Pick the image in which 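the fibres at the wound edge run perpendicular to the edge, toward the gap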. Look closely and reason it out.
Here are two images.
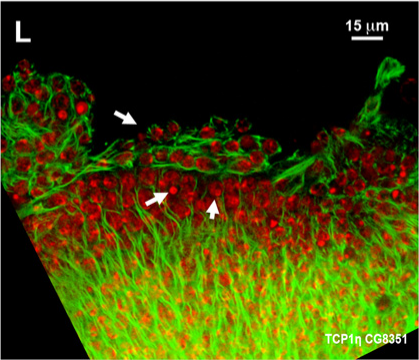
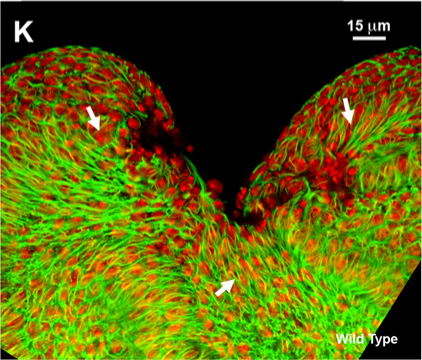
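First image: near the wound edge the green fibres run along the edge, parallel to it. Second image: the green fibres on both sides converge toward the narrow V-shaped cleft. On this evidence: the second image.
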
